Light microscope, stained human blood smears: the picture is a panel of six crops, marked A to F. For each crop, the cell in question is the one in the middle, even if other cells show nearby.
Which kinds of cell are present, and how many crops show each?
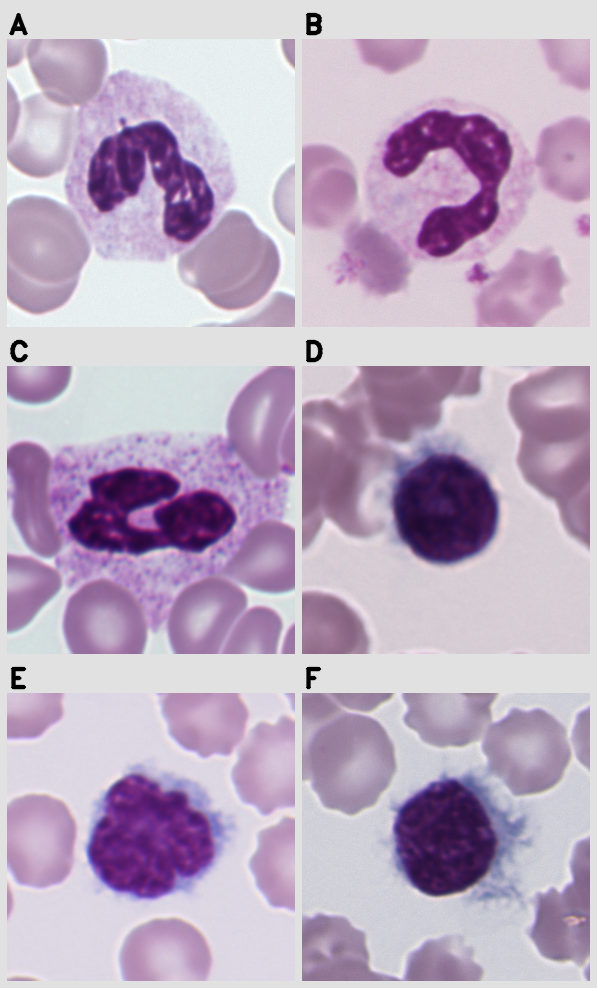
segmented neutrophil: 3
hairy cell: 3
